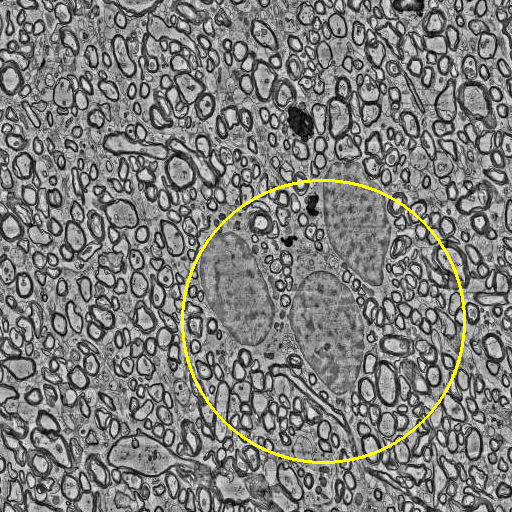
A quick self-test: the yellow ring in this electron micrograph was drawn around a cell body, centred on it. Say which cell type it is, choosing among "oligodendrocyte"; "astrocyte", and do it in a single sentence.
The yellow-ringed cell is an oligodendrocyte.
